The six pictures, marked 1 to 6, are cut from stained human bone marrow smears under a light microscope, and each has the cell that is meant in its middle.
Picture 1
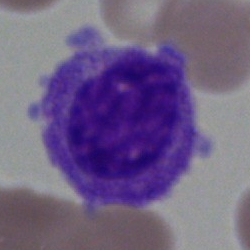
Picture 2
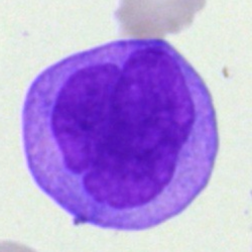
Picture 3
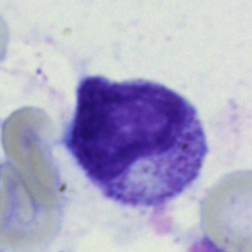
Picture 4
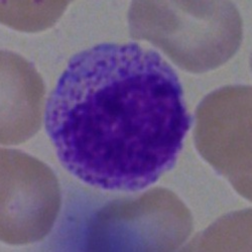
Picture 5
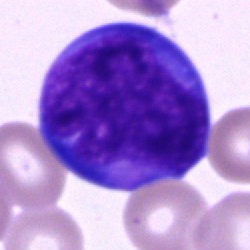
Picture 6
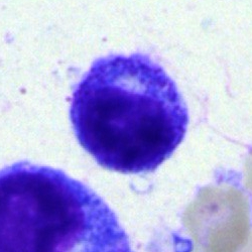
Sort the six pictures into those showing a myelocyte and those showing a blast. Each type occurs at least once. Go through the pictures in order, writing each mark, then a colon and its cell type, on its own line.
1: myelocyte
2: blast
3: myelocyte
4: myelocyte
5: blast
6: myelocyte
